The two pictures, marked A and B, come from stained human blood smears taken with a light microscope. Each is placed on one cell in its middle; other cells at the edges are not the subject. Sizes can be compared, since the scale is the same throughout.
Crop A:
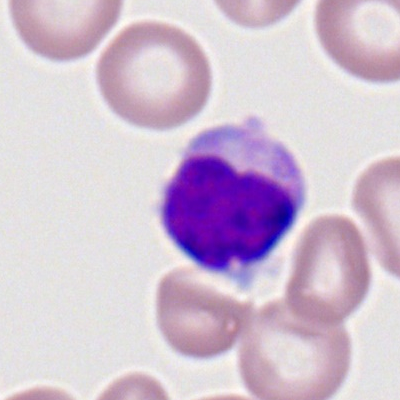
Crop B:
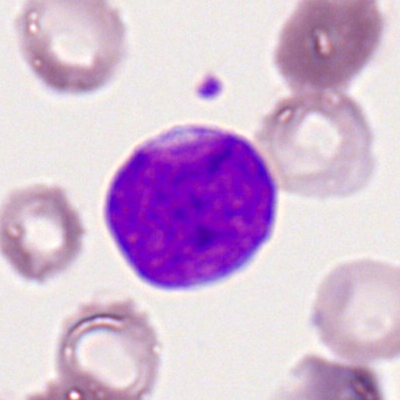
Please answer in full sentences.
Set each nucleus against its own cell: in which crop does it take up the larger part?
The nucleus fills more of the cell in crop B than in crop A.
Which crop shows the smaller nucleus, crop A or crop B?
Smaller is the nucleus in crop A, and the other is about 2 times as large in area.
